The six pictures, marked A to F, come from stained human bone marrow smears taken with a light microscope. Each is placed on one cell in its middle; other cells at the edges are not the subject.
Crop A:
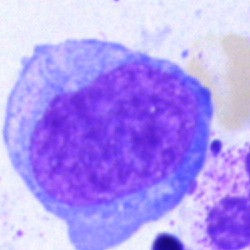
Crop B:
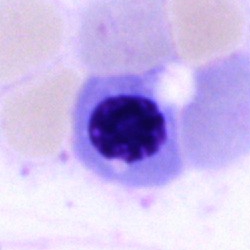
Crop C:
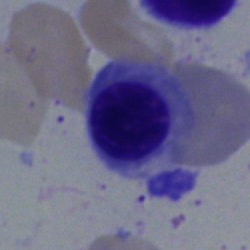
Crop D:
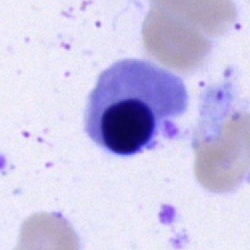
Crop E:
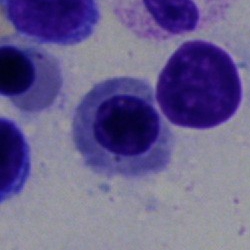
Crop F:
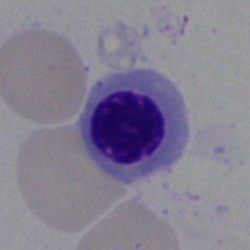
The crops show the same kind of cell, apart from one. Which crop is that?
A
